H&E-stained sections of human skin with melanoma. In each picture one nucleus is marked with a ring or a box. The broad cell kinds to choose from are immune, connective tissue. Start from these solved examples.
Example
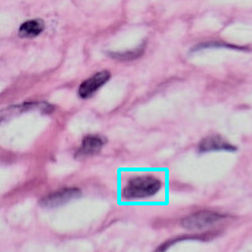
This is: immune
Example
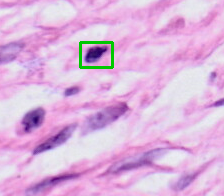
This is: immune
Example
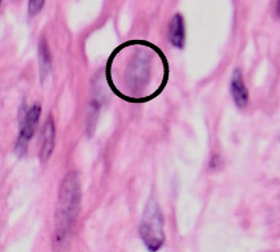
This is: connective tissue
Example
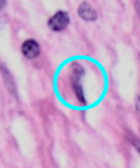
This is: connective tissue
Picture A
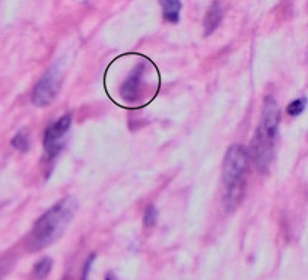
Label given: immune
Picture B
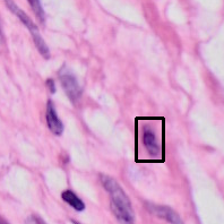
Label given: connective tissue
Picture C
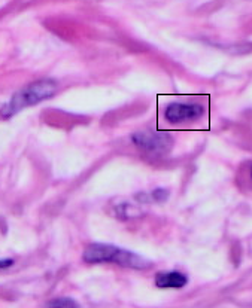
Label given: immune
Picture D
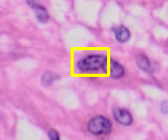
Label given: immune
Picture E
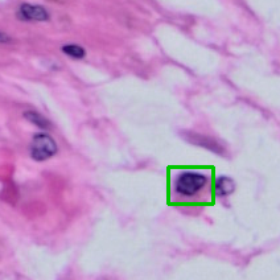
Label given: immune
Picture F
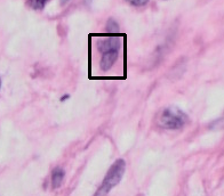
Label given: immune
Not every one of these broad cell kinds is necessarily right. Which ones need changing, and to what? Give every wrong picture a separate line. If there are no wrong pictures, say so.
A is labelled immune; correct label: connective tissue
B is labelled connective tissue; correct label: immune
